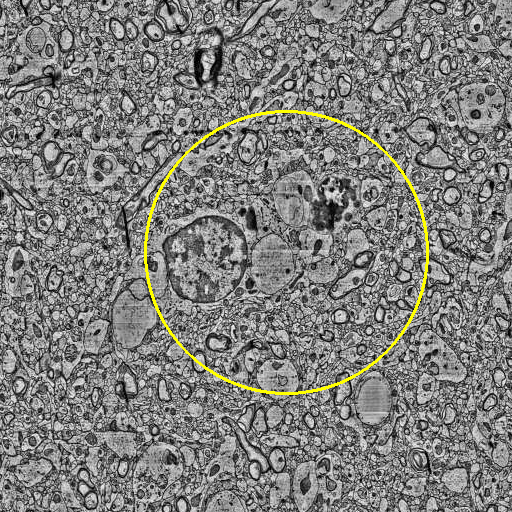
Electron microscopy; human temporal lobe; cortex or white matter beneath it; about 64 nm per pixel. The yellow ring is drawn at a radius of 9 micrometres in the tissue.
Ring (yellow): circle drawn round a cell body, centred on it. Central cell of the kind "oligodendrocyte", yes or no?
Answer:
yes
